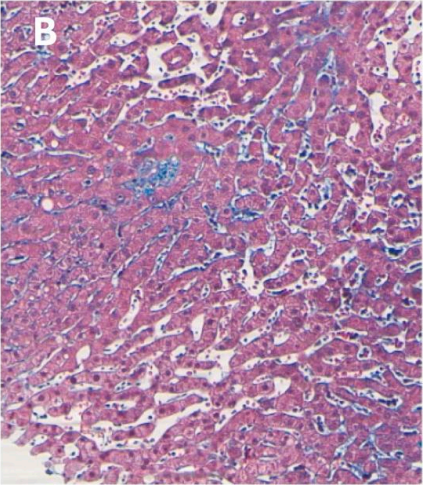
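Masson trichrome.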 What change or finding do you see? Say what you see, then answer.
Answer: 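Many widened, clear, irregular spaces separate the pink-red cell plates. The open spaces are wider than the thin slits between plates elsewhere. Fine blue strands run along some of the spaces.
Answer: sinusoidal dilatation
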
